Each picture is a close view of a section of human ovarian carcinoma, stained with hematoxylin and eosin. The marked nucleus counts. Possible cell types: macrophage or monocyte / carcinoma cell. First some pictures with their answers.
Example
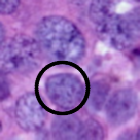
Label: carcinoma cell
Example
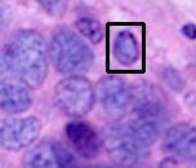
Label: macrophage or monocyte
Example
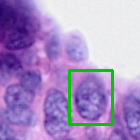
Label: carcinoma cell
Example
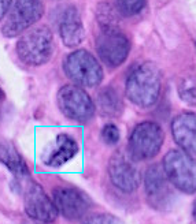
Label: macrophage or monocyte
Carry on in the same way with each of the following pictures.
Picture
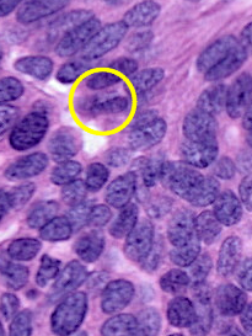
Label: carcinoma cell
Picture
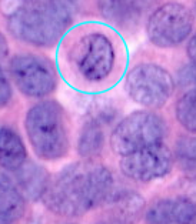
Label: macrophage or monocyte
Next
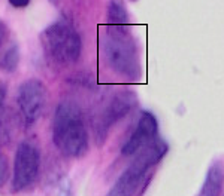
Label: carcinoma cell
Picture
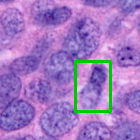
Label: macrophage or monocyte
